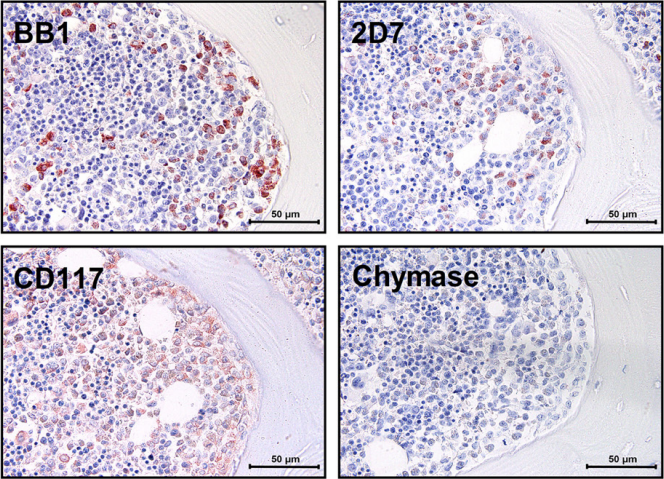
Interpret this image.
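Bone marrow packed with small round cells with blue nuclei, interrupted by round empty fat spaces and bordered on the right by a pale, cell-free band of bone. In the upper two fields scattered cells carry a brown cytoplasmic stain, more numerous in the upper left, while in the lower left field many cells show a faint brown rim around their nuclei. The lower right field shows only blue nuclei without brown stain.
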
